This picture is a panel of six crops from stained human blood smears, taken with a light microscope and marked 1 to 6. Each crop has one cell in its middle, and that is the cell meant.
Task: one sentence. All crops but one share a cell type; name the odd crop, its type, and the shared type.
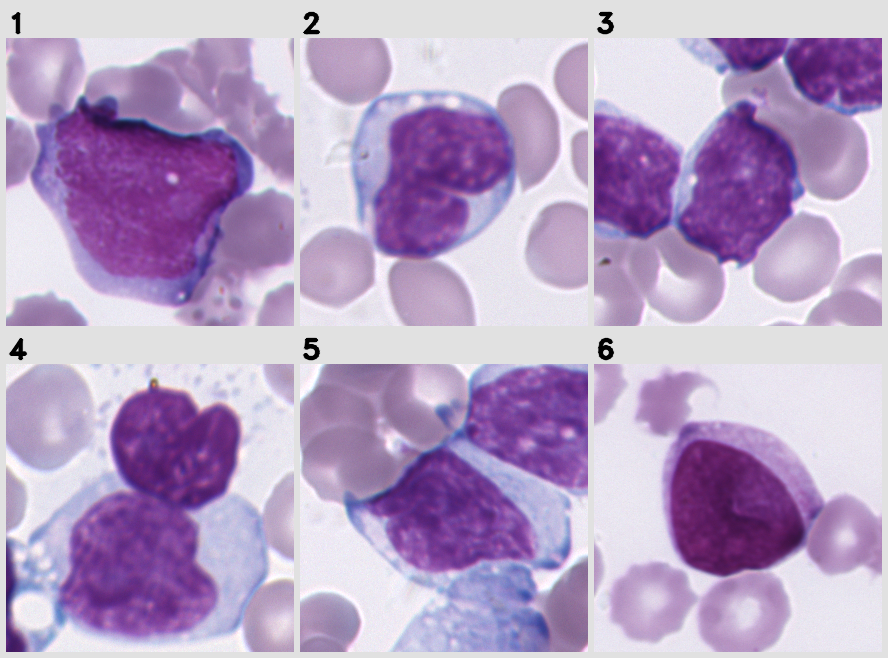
The exception is crop 3: it is a typical lymphocyte, and the others are all myeloblasts.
